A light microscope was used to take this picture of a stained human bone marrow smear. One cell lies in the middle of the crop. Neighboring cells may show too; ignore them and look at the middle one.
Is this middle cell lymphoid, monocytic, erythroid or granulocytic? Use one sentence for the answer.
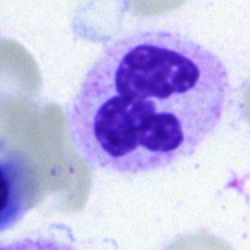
The cell positioned centrally in this crop arises from the granulocytic lineage.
